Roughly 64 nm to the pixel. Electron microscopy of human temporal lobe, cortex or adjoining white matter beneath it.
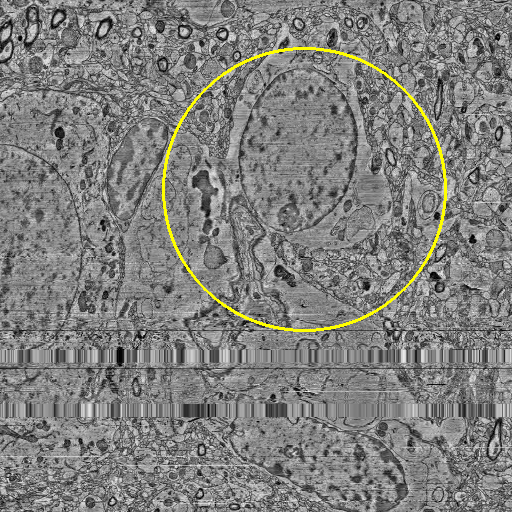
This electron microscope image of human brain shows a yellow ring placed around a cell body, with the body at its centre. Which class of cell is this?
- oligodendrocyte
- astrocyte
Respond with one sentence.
The cell body at the ring's centre is an astrocyte.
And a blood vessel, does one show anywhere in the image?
Yes, one appears.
